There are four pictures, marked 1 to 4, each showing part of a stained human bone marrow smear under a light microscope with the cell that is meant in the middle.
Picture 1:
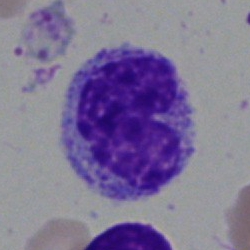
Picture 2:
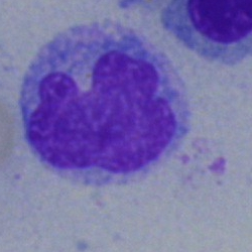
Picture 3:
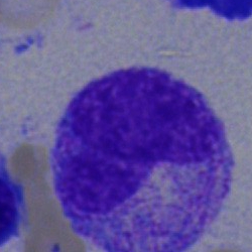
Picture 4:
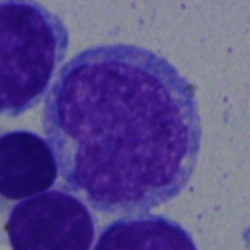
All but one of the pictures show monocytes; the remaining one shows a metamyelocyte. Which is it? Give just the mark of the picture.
3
